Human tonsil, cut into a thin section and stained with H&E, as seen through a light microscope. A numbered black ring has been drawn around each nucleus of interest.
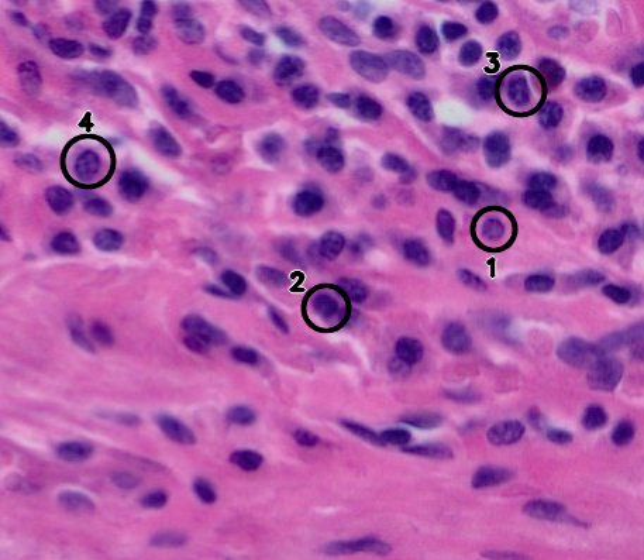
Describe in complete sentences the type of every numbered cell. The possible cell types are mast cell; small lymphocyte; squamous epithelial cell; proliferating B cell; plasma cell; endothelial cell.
Cell 1 is a mast cell. Cells 2, 3 and 4 are plasma cells.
